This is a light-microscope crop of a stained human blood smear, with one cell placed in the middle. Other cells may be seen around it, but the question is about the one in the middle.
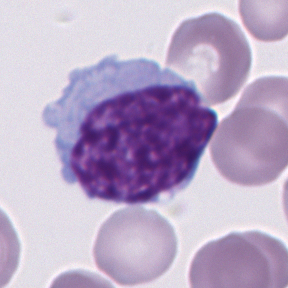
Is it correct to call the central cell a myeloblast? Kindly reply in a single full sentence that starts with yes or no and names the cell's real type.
Yes, the middle cell here is a myeloblast.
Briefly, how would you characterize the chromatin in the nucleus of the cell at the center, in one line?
This nucleus has coarsely clumped chromatin.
